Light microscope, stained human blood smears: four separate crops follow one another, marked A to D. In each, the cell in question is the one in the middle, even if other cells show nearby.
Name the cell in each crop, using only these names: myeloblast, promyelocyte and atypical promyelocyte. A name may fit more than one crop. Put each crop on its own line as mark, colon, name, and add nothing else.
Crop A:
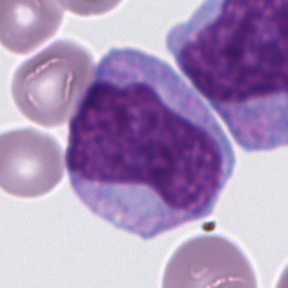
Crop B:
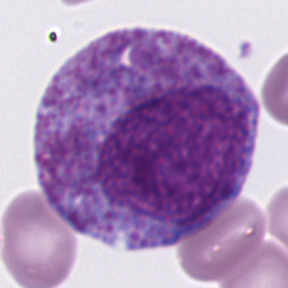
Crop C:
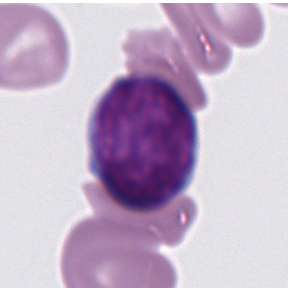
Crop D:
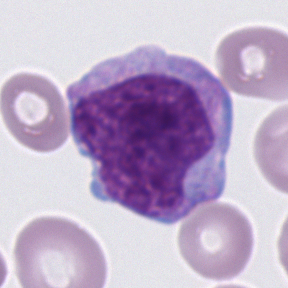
A: atypical promyelocyte
B: promyelocyte
C: myeloblast
D: atypical promyelocyte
